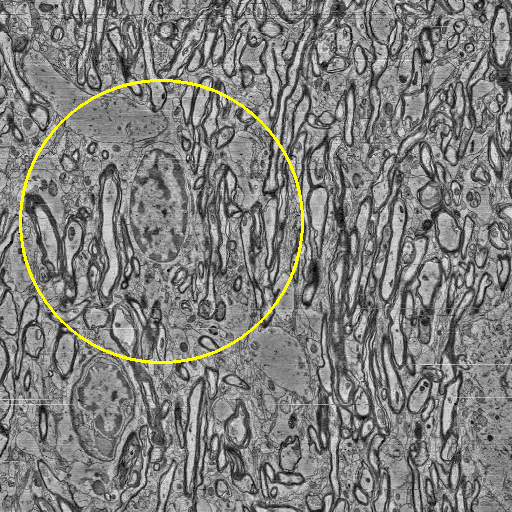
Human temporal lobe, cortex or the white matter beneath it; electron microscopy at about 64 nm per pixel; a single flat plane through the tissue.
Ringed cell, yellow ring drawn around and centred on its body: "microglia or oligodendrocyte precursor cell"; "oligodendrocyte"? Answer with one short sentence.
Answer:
This ringed cell is a microglial cell or oligodendrocyte precursor cell.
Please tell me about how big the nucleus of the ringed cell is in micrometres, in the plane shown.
The nucleus is approximately 7 micrometres long but only about 4 wide, clearly longer than it is wide in this plane.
